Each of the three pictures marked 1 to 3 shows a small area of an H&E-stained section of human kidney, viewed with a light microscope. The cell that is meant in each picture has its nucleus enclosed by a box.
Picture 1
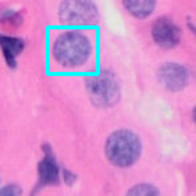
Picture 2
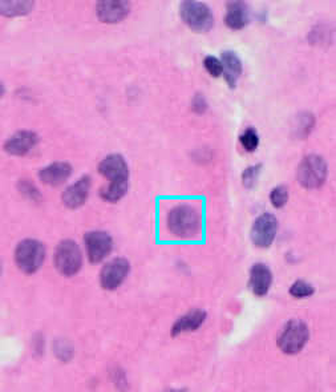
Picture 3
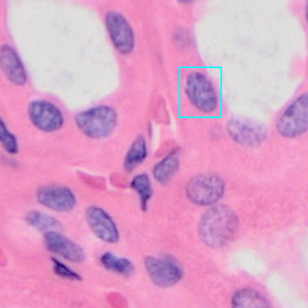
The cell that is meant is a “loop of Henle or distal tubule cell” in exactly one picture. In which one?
3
